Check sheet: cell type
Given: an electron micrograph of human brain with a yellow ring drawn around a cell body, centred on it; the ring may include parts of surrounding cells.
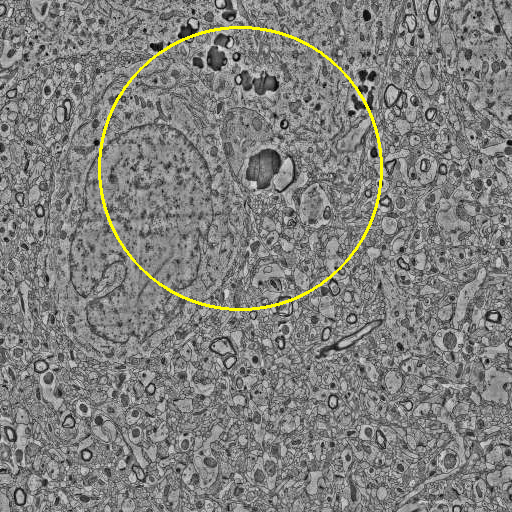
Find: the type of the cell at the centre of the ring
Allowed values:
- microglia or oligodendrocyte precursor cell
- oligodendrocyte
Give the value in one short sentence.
Here the ringed cell is an oligodendrocyte.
